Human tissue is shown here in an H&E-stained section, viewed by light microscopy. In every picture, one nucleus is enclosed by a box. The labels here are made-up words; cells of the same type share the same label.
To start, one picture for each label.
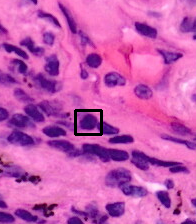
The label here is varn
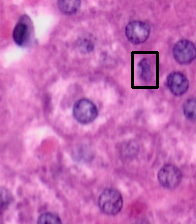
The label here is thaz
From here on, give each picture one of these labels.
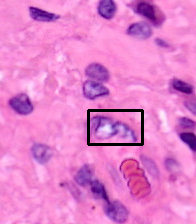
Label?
thaz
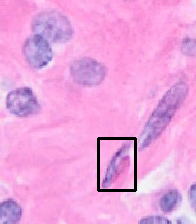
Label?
thaz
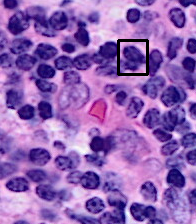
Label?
varn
